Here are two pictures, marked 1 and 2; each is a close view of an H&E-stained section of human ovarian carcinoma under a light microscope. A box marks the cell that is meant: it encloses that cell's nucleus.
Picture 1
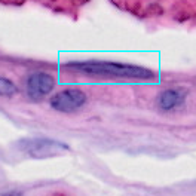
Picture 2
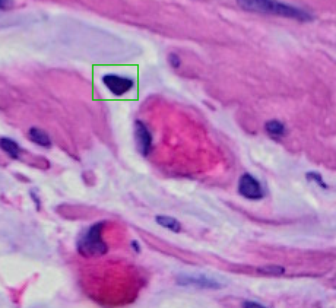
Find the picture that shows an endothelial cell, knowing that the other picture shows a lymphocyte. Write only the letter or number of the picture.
1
